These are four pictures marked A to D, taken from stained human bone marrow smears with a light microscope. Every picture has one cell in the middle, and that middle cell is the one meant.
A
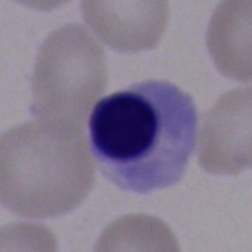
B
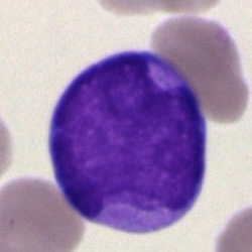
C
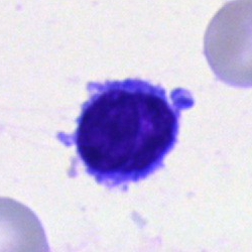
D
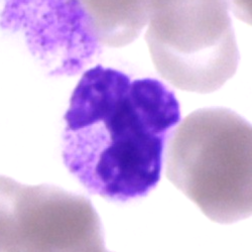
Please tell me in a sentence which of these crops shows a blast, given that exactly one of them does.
Crop B is where a blast is shown.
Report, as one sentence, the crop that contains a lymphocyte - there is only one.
So the crop with a lymphocyte at its center is crop C.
